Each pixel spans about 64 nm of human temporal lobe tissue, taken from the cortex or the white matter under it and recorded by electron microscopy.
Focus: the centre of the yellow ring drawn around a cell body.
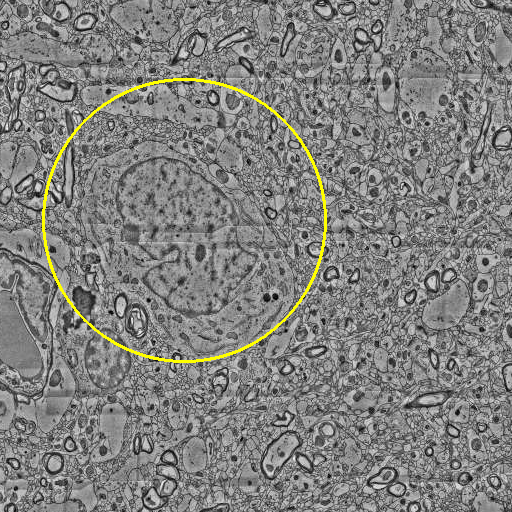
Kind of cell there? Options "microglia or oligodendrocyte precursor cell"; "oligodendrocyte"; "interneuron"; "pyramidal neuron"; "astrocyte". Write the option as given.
interneuron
